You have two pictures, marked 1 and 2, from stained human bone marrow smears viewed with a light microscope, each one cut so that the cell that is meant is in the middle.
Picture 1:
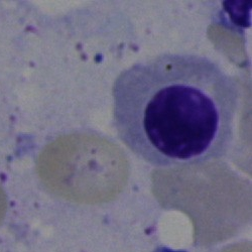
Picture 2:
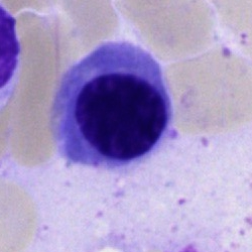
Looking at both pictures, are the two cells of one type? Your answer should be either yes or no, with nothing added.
yes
